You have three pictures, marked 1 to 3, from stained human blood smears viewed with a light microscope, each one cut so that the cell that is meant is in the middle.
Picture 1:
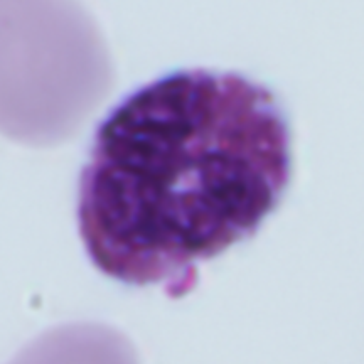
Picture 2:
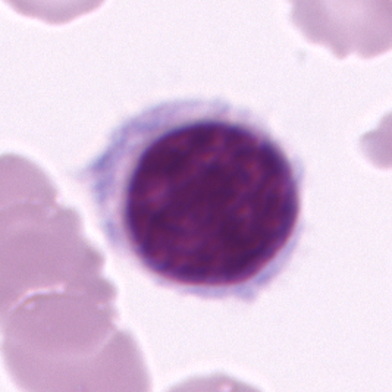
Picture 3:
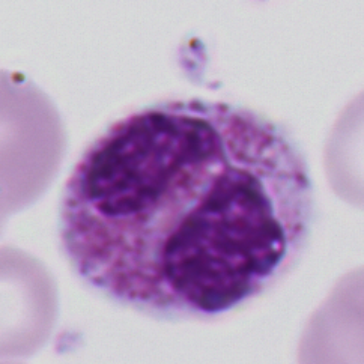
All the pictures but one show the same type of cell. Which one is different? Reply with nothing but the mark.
2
